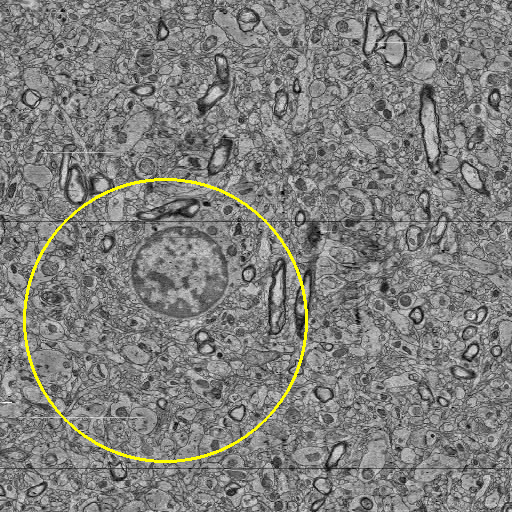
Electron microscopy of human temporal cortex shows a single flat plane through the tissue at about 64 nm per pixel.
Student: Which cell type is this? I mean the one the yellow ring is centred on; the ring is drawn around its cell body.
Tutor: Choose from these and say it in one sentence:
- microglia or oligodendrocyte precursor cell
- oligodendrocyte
The cell the ring is centred on is an oligodendrocyte.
